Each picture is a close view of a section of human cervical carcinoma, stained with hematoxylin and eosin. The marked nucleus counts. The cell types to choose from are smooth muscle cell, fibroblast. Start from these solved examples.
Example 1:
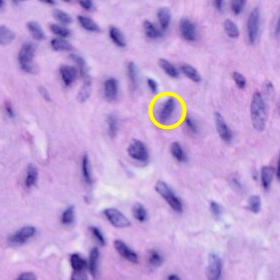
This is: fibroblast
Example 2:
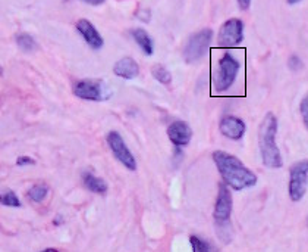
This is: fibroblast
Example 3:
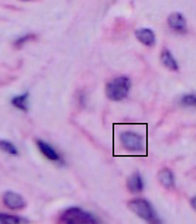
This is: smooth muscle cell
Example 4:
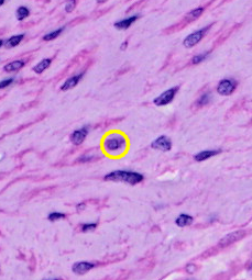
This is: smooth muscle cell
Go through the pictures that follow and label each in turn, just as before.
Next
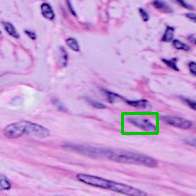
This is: smooth muscle cell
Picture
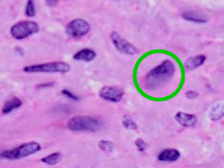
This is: fibroblast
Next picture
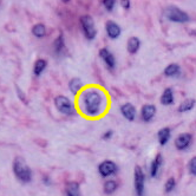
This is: smooth muscle cell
